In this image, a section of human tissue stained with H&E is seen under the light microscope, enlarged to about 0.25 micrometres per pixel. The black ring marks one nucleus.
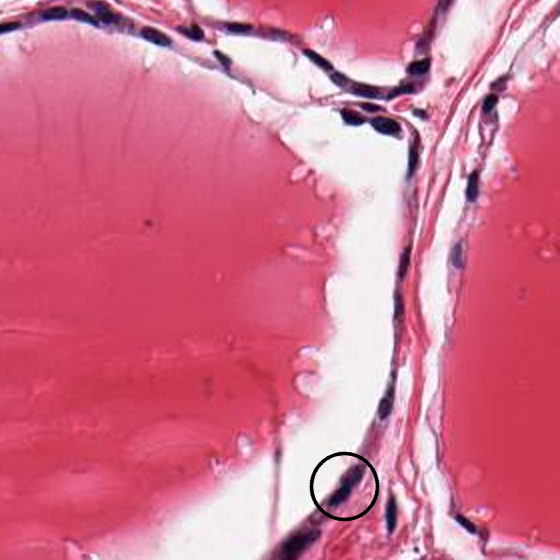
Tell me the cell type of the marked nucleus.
thyroid follicular cell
